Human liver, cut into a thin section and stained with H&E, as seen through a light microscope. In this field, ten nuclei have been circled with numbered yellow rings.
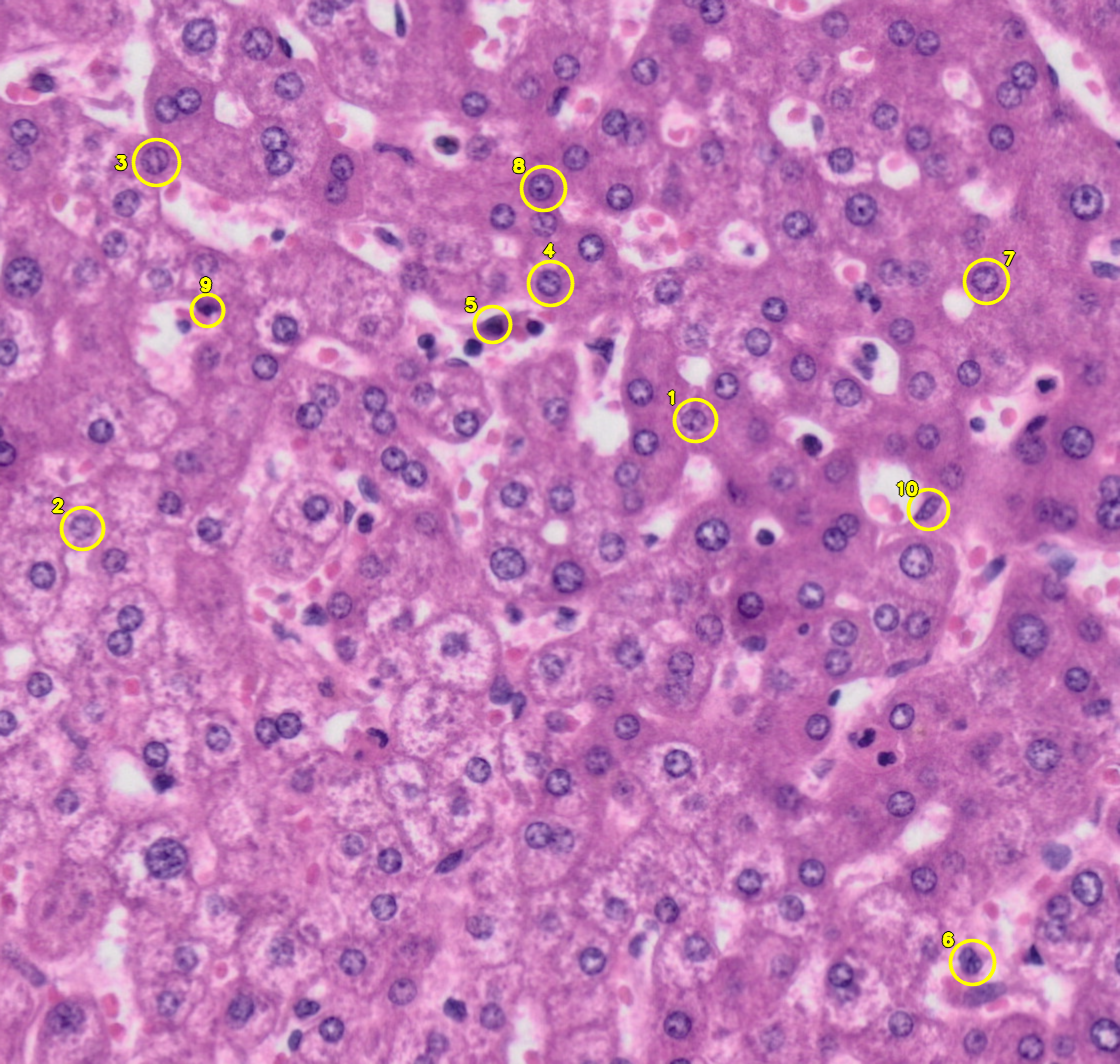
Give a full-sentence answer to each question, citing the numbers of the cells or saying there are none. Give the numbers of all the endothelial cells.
Only number 9 is an endothelial cell; none of the others are.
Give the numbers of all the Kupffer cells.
The cell marked by number 5 is a Kupffer cell; the other marked cells are not.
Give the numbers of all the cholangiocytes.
Without exception, the numbered cells are not cholangiocytes.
